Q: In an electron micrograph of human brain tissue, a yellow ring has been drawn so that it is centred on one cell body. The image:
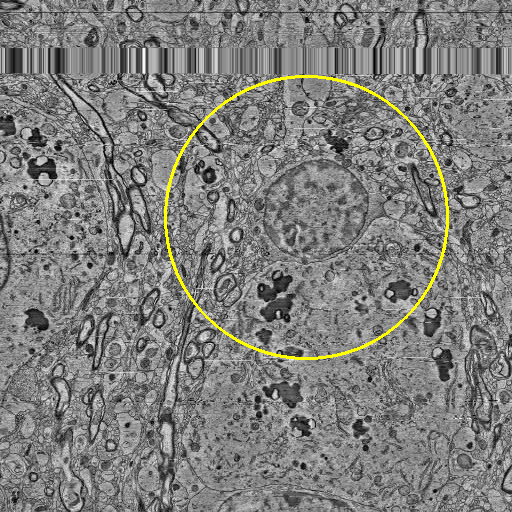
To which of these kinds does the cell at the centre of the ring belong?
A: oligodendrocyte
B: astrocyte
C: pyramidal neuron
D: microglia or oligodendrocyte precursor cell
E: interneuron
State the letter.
A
